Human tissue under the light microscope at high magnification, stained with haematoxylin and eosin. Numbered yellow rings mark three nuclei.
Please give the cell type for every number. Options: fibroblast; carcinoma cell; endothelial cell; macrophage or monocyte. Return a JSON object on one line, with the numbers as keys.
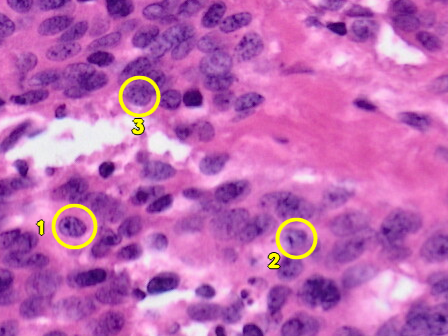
{"1": "macrophage or monocyte", "2": "macrophage or monocyte", "3": "carcinoma cell"}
